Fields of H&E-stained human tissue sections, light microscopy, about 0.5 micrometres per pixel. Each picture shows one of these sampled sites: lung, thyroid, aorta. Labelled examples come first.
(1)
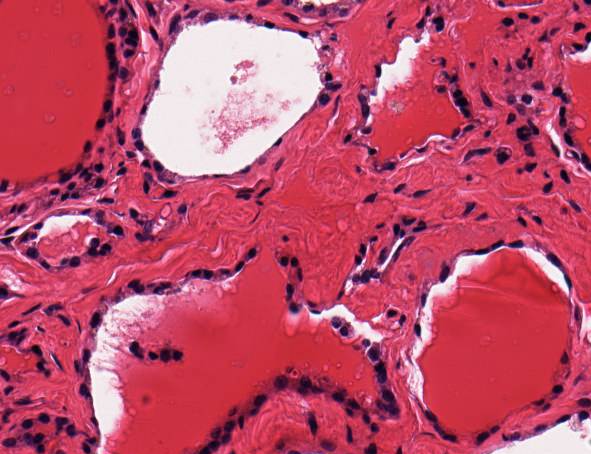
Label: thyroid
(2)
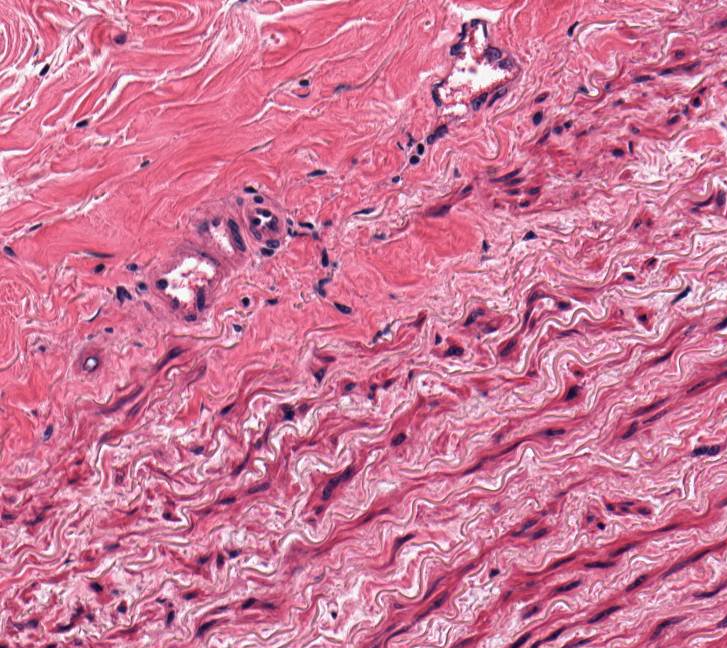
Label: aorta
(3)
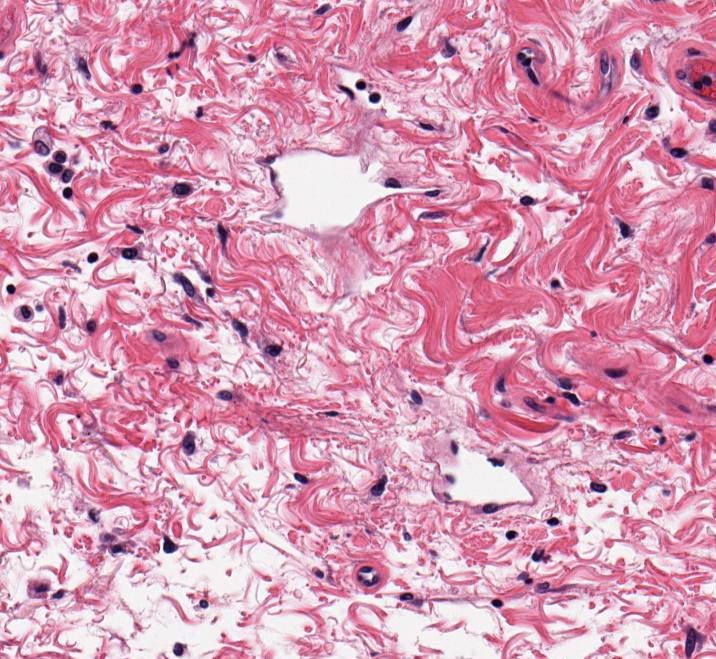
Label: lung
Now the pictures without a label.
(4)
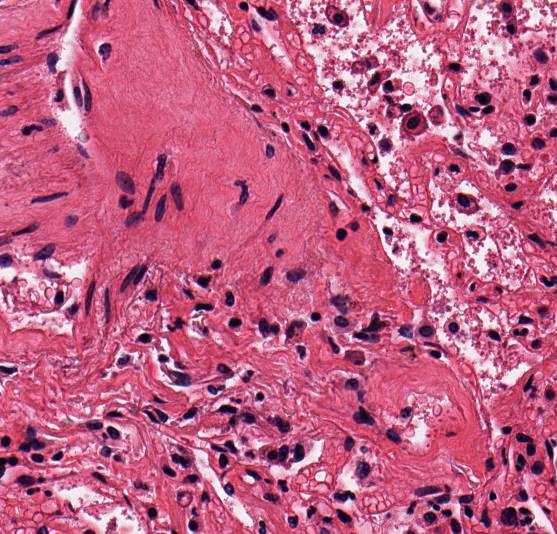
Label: lung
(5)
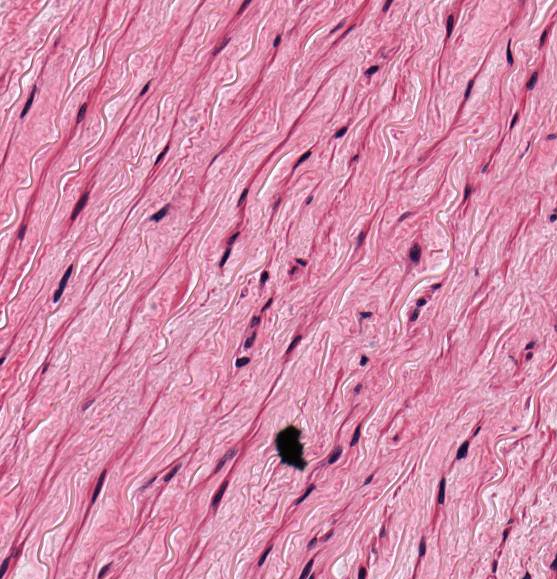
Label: aorta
